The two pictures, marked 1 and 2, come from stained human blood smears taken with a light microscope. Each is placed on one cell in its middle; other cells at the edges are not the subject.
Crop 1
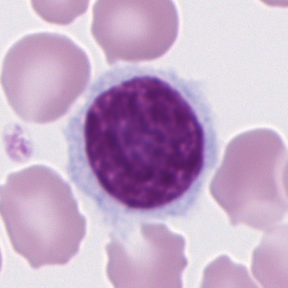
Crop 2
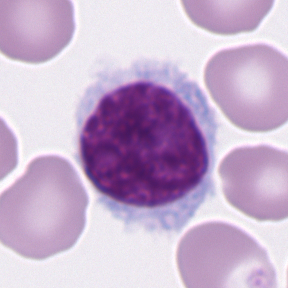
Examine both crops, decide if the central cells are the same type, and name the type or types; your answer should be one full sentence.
Yes, hairy cells lie at the centre of both crops.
